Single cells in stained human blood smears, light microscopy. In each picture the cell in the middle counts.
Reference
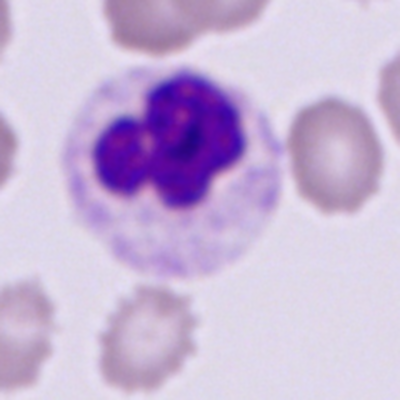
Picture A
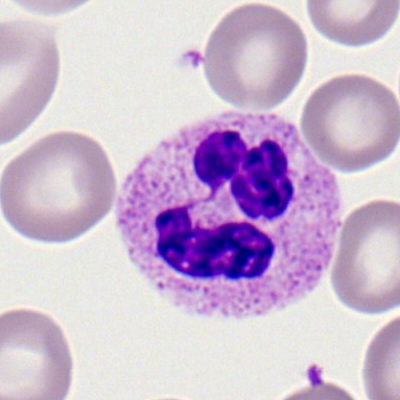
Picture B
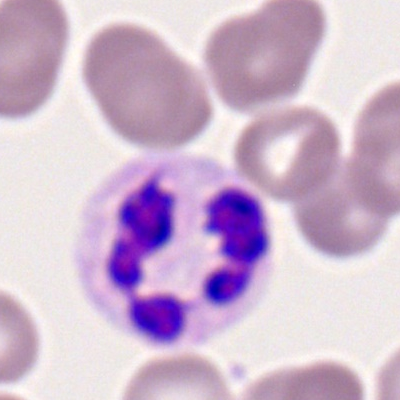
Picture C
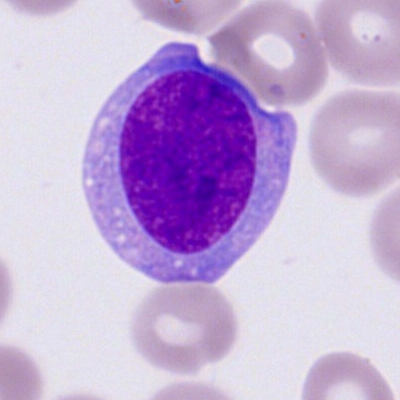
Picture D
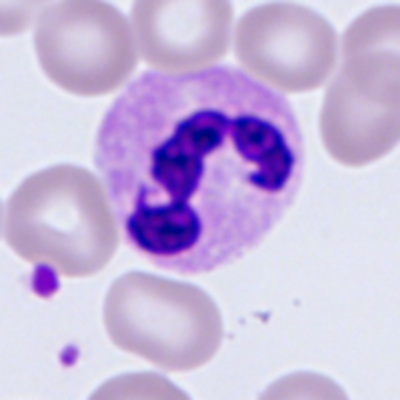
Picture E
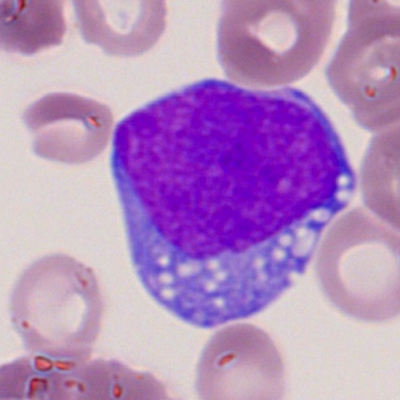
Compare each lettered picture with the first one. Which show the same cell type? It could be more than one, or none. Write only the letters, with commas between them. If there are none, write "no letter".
A, B, D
